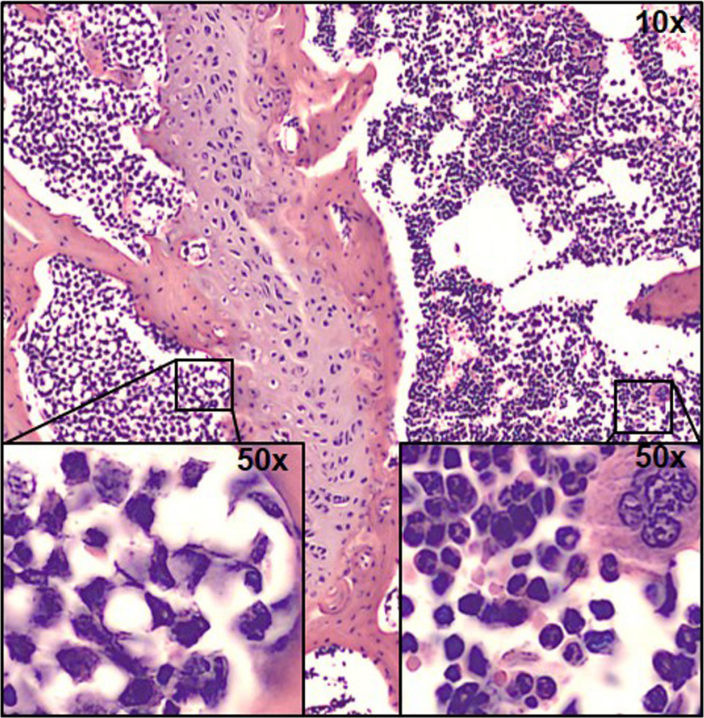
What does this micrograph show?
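Small cells sit in lacunae within that matrix. The spaces between the trabeculae are packed with small round cells whose nuclei stain dark purple, with some clear gaps among them. In the enlarged insets, many round cells with dense, dark nuclei and scant purple cytoplasm are crowded together. One inset also shows a large cell with a lobed nucleus and abundant pale cytoplasm.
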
